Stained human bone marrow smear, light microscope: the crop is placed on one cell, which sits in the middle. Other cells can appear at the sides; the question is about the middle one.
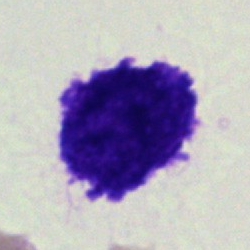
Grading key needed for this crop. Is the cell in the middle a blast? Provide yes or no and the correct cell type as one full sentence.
Yes, the cell in the centre is a blast.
